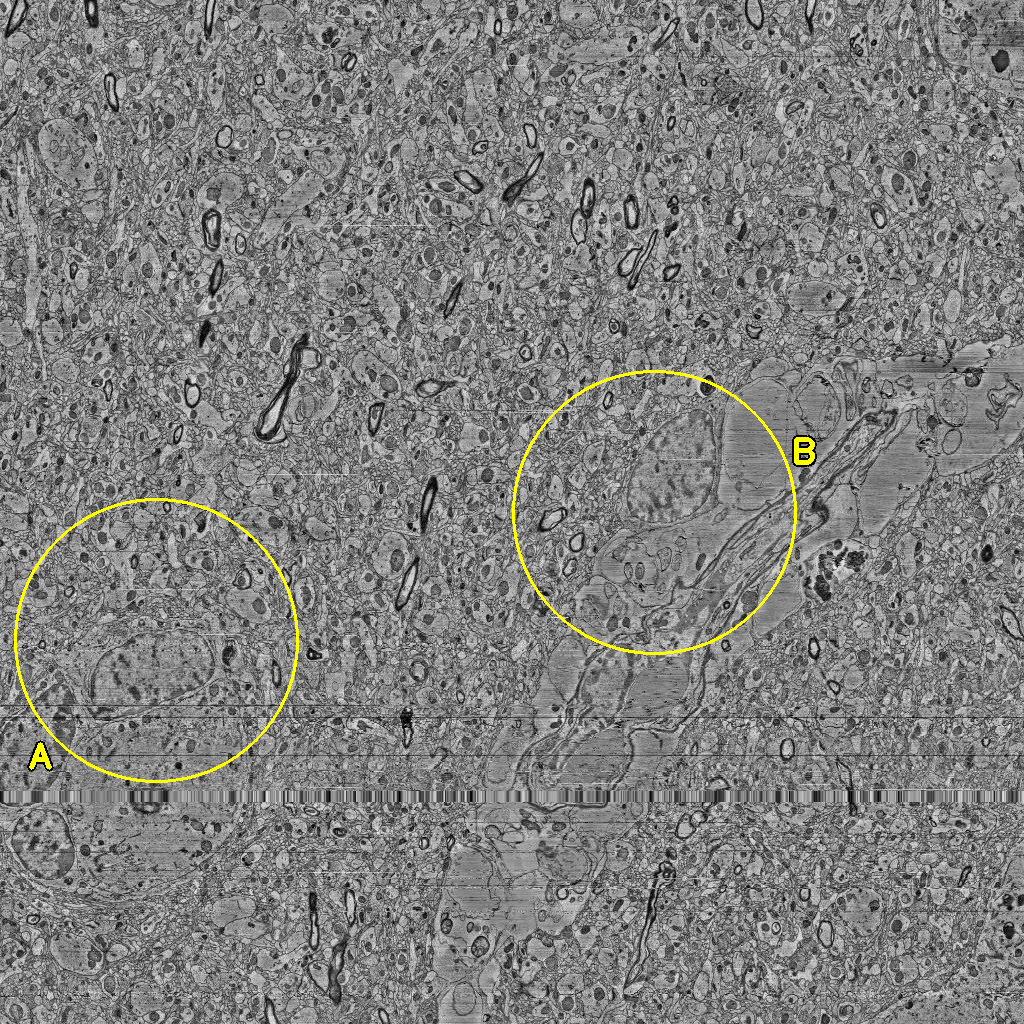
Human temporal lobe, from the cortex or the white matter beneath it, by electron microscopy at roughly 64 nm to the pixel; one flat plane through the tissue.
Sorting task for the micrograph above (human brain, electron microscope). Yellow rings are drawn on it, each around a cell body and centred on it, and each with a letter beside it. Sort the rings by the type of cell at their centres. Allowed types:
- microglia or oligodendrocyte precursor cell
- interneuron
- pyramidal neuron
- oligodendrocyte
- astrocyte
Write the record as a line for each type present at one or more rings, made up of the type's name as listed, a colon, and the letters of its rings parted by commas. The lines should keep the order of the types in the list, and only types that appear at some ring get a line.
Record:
microglia or oligodendrocyte precursor cell: A
oligodendrocyte: B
